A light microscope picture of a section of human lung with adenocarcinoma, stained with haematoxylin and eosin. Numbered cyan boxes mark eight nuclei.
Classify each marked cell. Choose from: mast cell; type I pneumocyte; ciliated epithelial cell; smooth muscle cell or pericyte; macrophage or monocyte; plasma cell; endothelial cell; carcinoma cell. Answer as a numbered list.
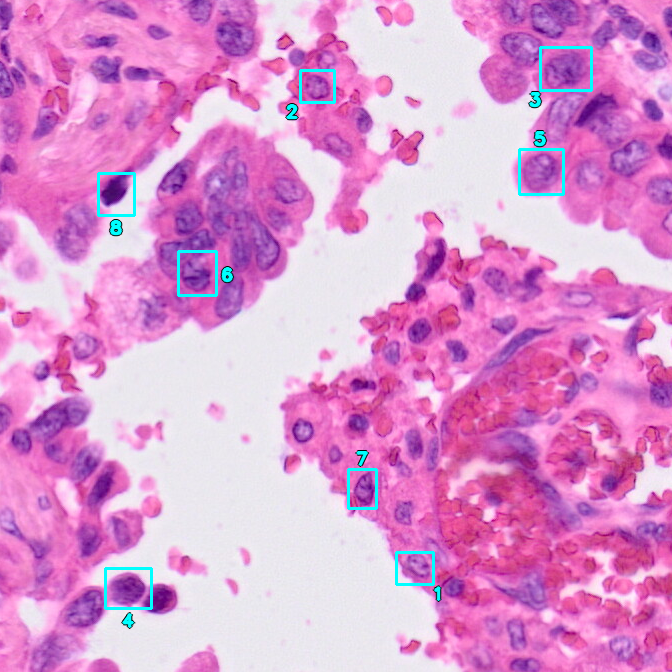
1. macrophage or monocyte
2. macrophage or monocyte
3. carcinoma cell
4. carcinoma cell
5. carcinoma cell
6. carcinoma cell
7. macrophage or monocyte
8. carcinoma cell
